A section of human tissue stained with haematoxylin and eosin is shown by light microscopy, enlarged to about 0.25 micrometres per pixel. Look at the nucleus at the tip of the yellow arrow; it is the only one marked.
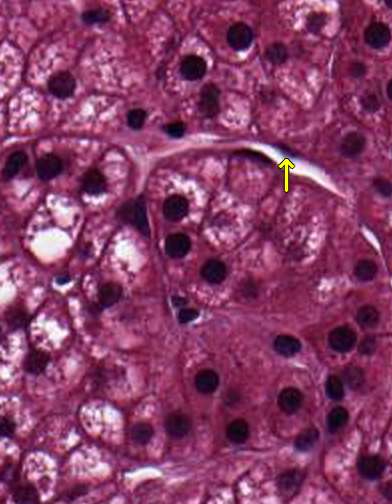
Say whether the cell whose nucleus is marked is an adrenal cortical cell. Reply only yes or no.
no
